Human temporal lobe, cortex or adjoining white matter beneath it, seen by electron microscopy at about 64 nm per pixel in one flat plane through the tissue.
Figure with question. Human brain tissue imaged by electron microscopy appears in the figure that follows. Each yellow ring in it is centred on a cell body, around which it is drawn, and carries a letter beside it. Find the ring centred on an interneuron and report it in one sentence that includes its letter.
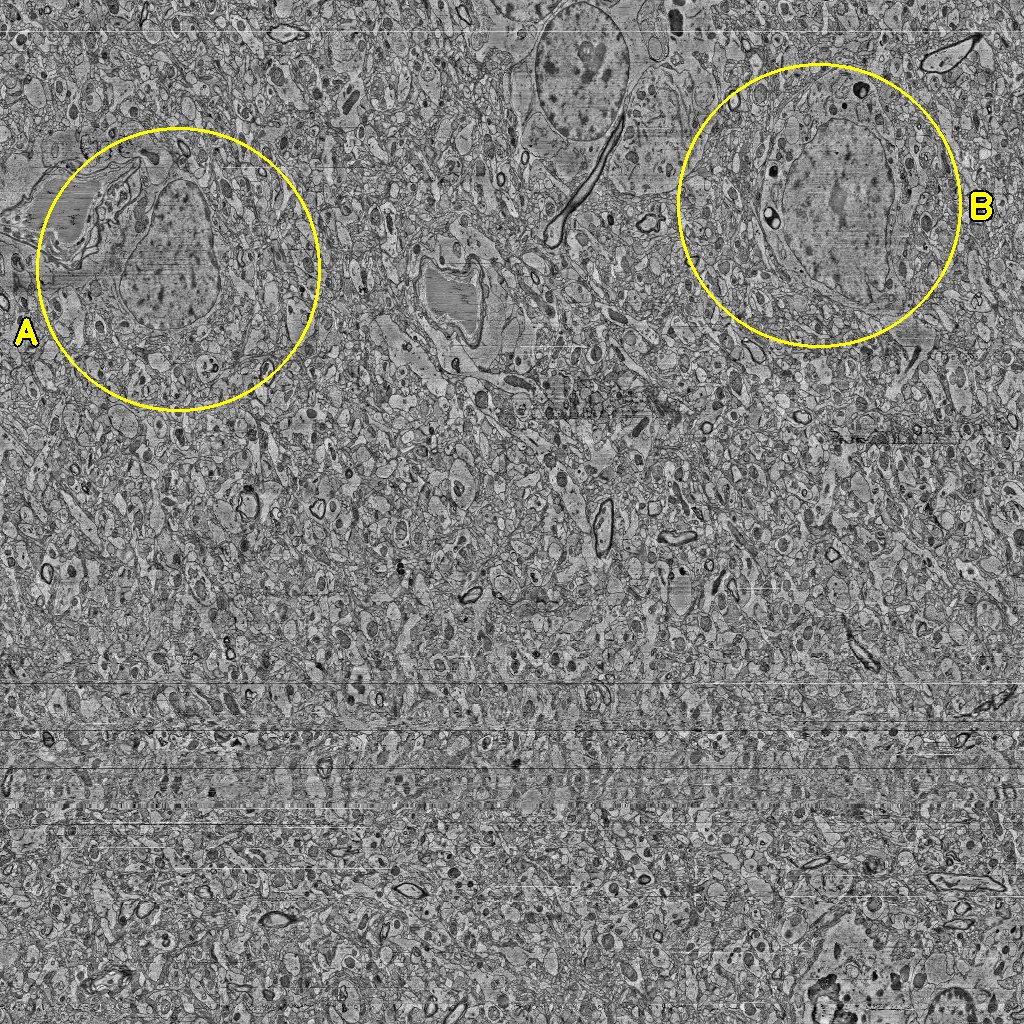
Ring B is the one centred on it.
